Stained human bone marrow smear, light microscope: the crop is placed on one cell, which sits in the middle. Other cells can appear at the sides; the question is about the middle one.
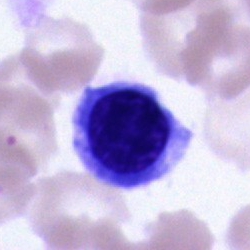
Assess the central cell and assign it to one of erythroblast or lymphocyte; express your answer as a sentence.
In the center of this field lies an erythroblast.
